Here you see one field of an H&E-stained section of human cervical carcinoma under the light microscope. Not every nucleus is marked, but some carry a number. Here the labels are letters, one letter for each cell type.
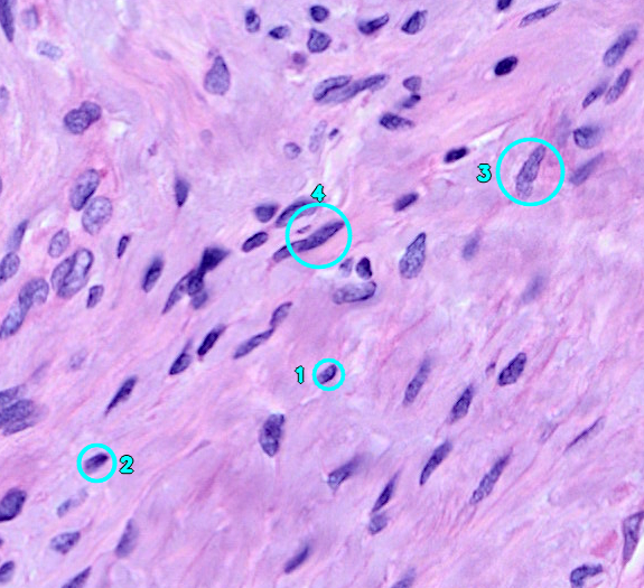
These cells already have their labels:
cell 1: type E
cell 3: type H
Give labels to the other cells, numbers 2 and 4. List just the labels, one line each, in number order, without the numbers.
type E
type E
